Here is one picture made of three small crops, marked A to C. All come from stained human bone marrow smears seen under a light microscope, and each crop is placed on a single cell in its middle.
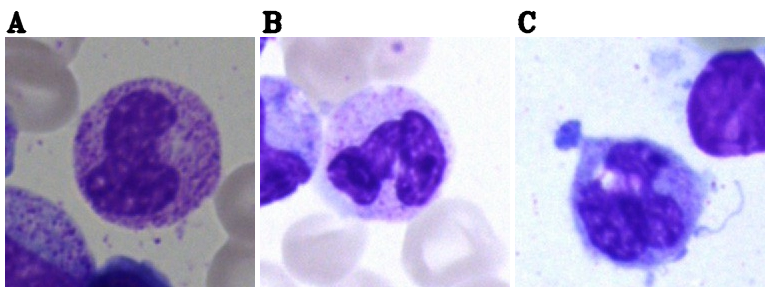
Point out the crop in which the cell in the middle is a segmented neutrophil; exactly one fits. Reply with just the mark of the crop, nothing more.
B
